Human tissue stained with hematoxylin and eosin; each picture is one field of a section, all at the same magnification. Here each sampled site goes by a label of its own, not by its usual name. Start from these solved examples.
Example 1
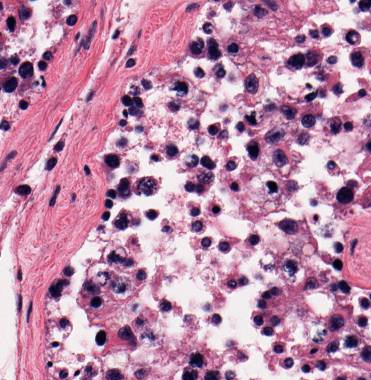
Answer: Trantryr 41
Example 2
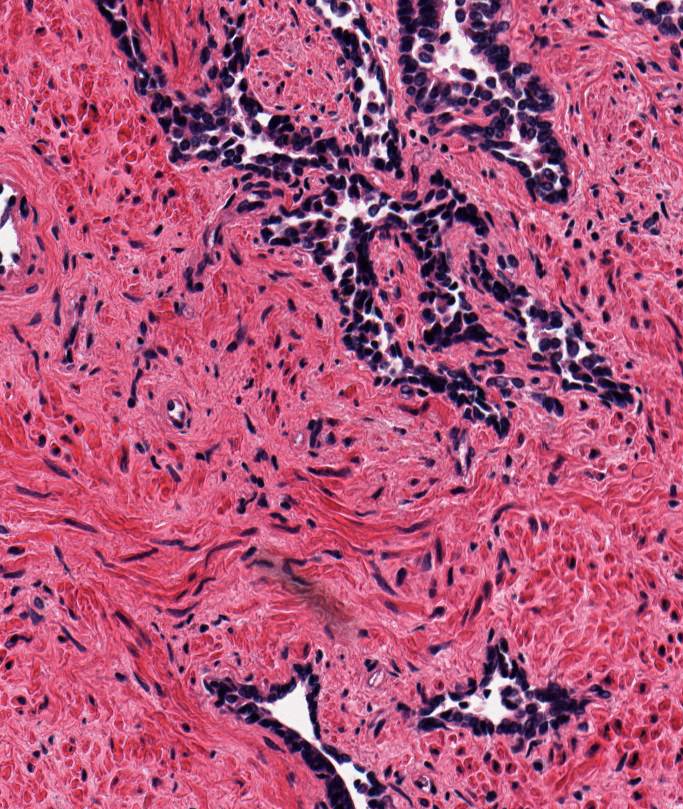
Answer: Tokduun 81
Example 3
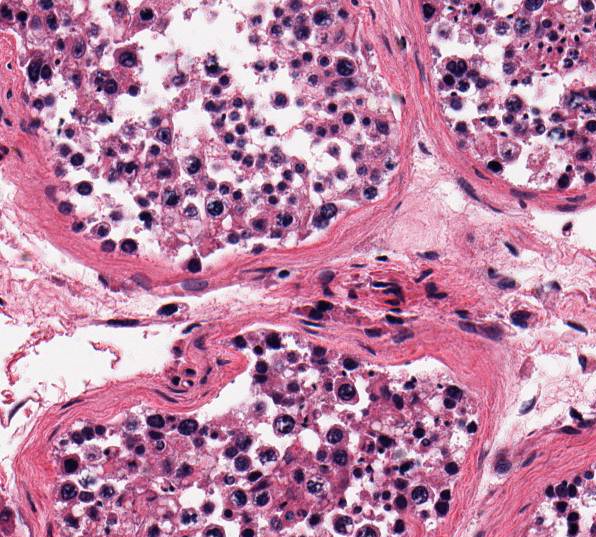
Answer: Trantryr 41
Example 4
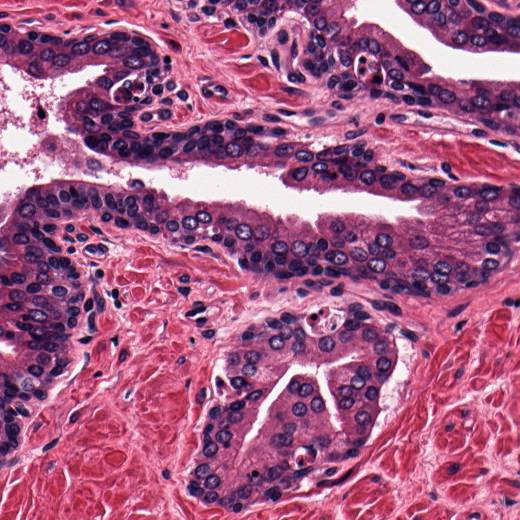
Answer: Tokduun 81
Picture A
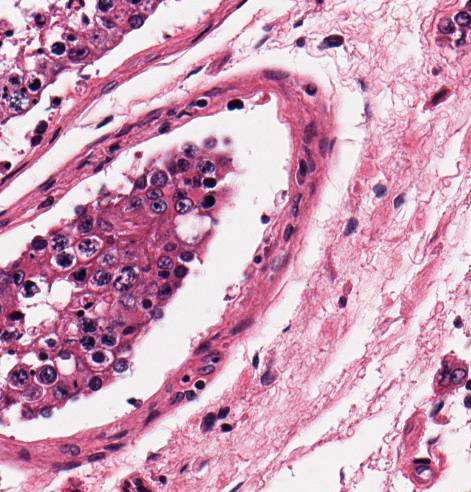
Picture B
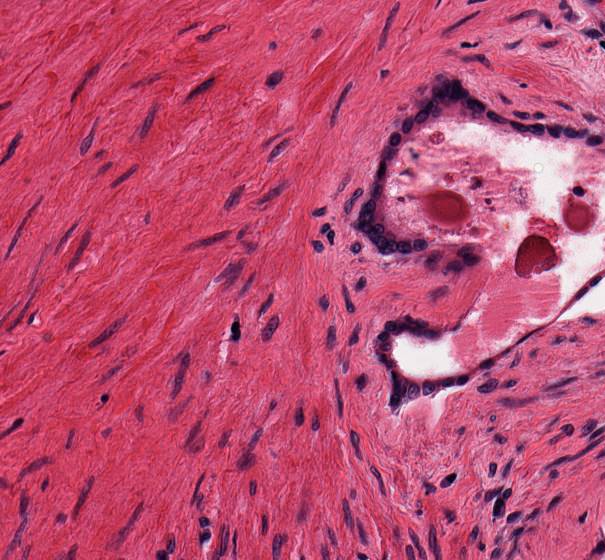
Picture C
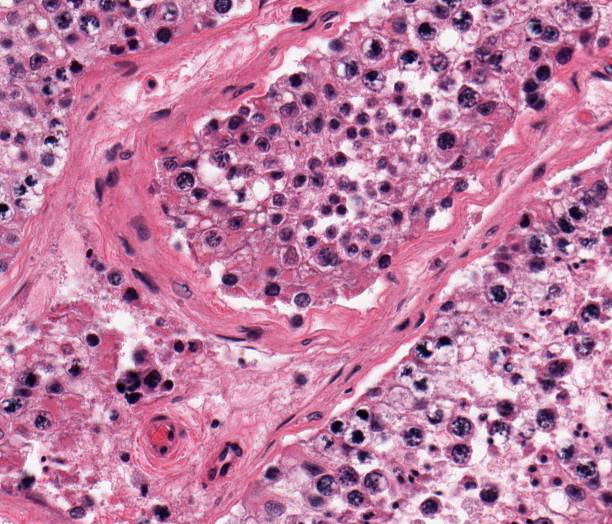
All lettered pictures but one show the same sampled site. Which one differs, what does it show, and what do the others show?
Exception: B, showing Tokduun 81. Remaining pictures: Trantryr 41.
